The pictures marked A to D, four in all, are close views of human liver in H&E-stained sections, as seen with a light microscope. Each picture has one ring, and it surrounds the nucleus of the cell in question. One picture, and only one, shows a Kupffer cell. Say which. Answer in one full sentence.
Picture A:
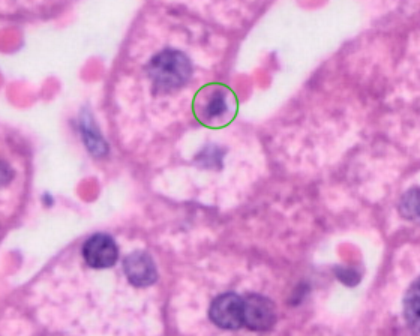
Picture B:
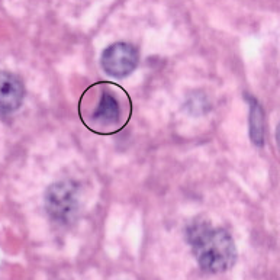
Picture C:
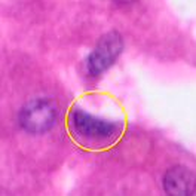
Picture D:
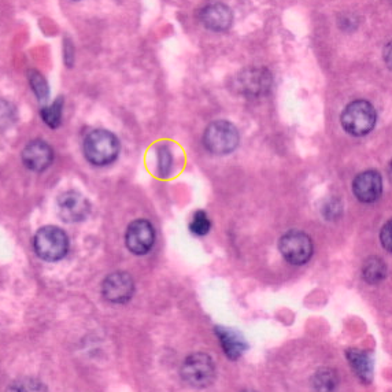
The picture with the Kupffer cell is D.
